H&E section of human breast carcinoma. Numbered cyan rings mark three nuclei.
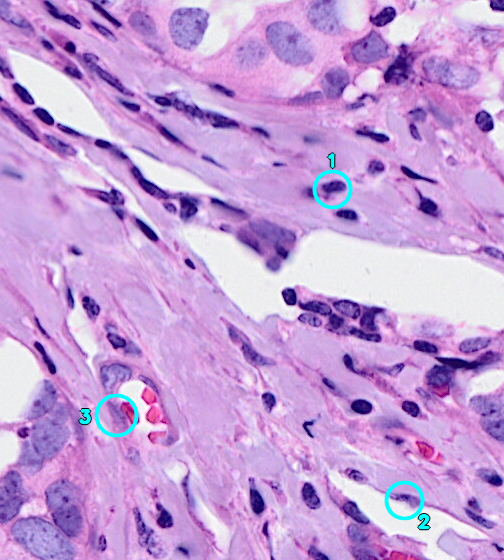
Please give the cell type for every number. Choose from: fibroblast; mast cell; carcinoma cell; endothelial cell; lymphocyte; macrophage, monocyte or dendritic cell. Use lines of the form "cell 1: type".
cell 1: lymphocyte
cell 2: fibroblast
cell 3: endothelial cell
